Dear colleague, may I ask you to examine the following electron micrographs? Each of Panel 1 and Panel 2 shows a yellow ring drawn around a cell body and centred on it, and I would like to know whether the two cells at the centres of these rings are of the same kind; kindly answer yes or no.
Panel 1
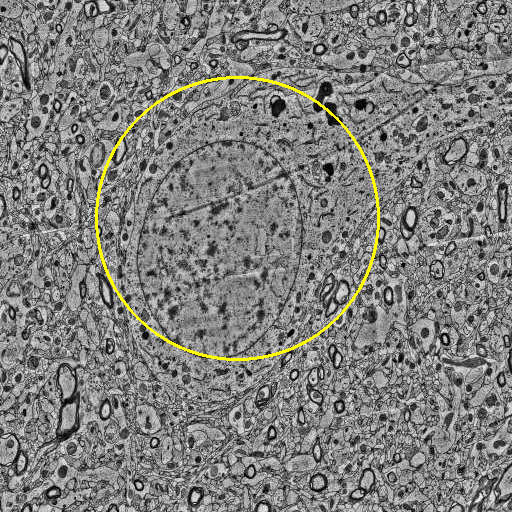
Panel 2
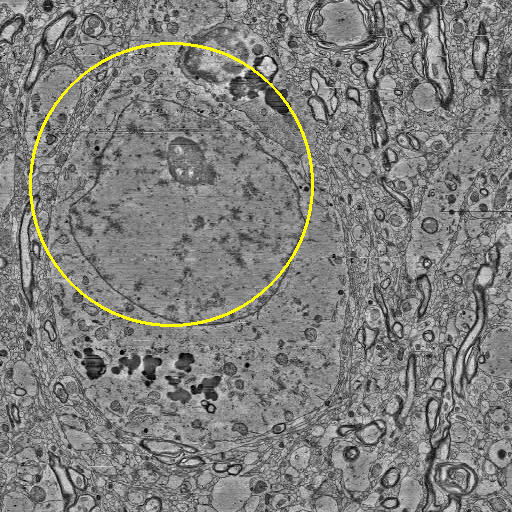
yes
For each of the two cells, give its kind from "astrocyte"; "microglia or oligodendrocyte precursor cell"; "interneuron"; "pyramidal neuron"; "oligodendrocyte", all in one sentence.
In each of the two pictures, the ringed cell is a pyramidal neuron.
